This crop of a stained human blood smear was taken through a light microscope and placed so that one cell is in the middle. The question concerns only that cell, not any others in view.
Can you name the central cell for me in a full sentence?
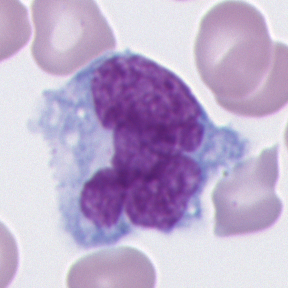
For this crop, the cell in the middle is a monocyte.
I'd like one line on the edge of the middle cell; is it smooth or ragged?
This cell has an uneven outline, either ragged or bearing projections.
